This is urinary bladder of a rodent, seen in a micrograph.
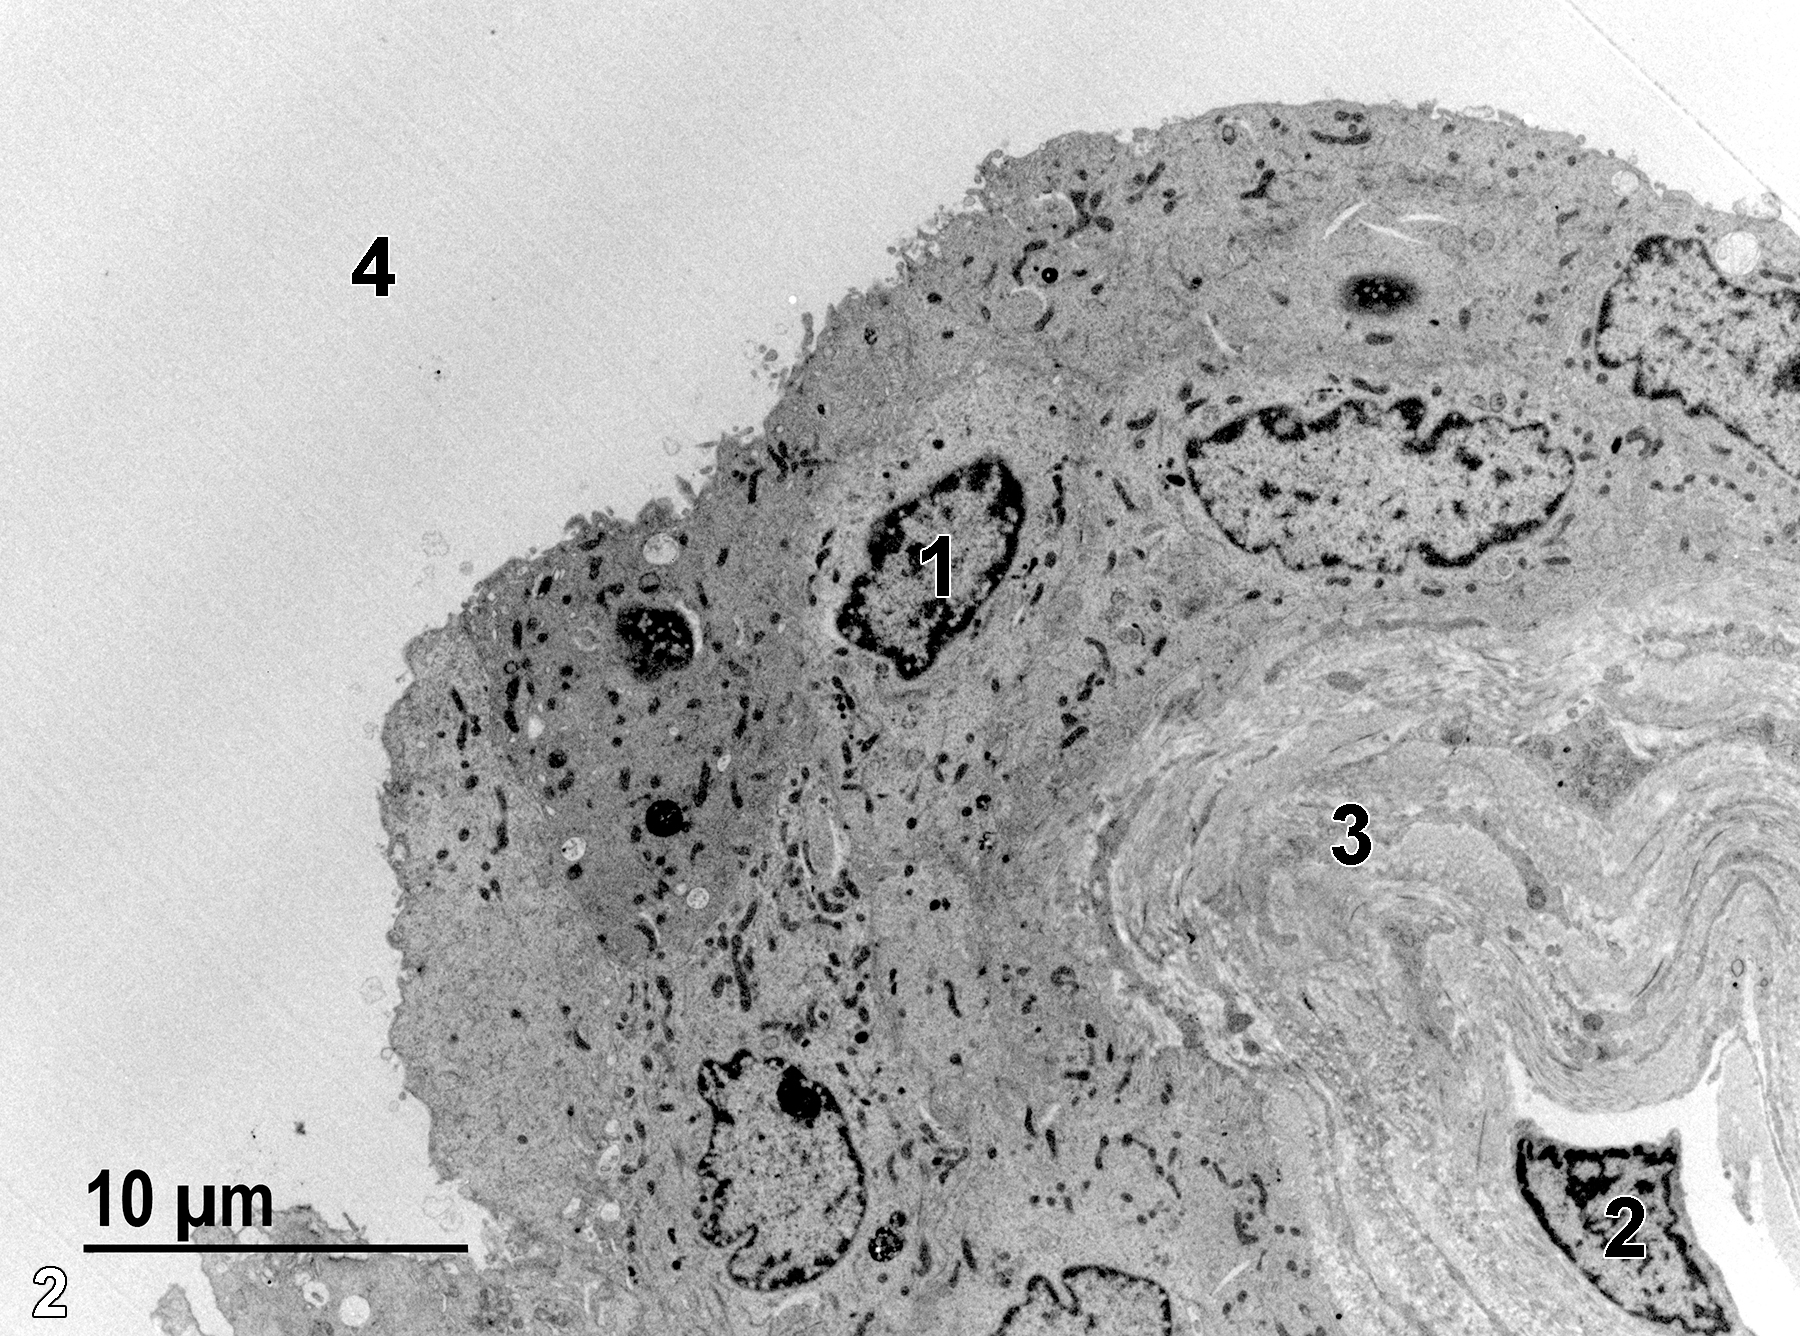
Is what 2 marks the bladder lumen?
No, it marks the fibroblast cell nucleus; the bladder lumen is at 4.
